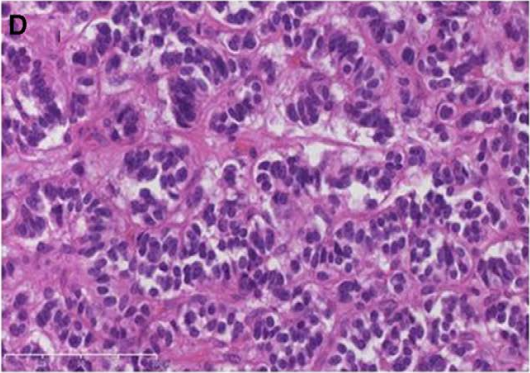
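Neuroendocrine neoplasm cells are arranged in cords, nests and small pseudoglandular groups separated by thin strands of pink stroma. The nuclei are round to oval, of fairly uniform size, dark purple, with fine chromatin. The cytoplasm is scant to moderate and pink to pale. No obvious mitotic figures stand out.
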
